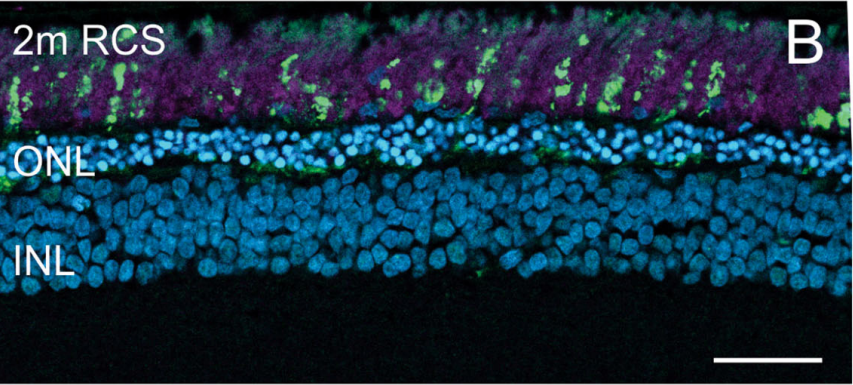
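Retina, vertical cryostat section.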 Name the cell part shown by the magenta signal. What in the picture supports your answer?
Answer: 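A continuous magenta band forms the outermost layer of the section. It lies directly above the row of small bright nuclei. That points to this answer: rod outer segments.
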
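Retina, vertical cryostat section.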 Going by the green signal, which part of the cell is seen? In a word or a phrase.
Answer: Cone outer segments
